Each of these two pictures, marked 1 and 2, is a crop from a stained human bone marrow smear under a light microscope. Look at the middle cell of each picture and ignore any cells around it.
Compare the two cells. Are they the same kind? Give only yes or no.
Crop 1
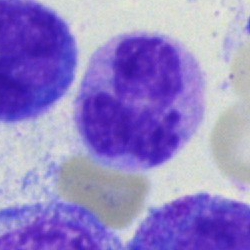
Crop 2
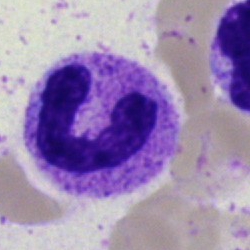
no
